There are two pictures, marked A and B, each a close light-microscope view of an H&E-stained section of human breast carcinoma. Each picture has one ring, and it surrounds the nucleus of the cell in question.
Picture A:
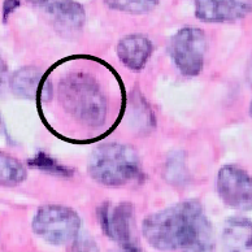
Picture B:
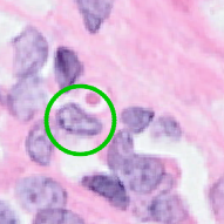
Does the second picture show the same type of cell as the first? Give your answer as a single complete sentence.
Yes, both are carcinoma cells.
